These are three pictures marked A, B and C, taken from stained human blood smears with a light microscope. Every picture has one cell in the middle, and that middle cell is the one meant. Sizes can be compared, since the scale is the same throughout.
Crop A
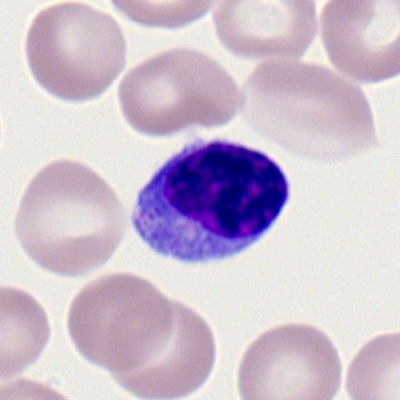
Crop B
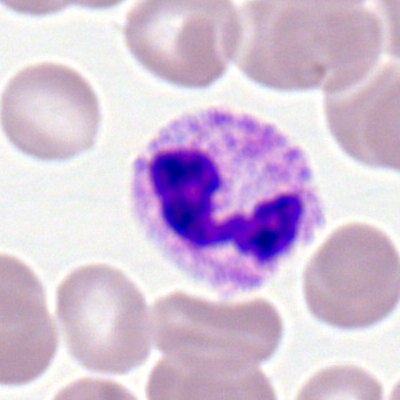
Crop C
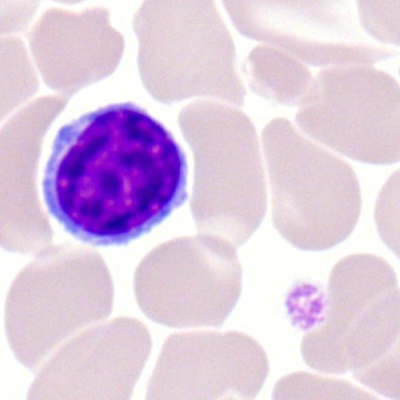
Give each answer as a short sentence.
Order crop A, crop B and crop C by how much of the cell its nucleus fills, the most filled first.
The most filled comes first: C, A, B.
